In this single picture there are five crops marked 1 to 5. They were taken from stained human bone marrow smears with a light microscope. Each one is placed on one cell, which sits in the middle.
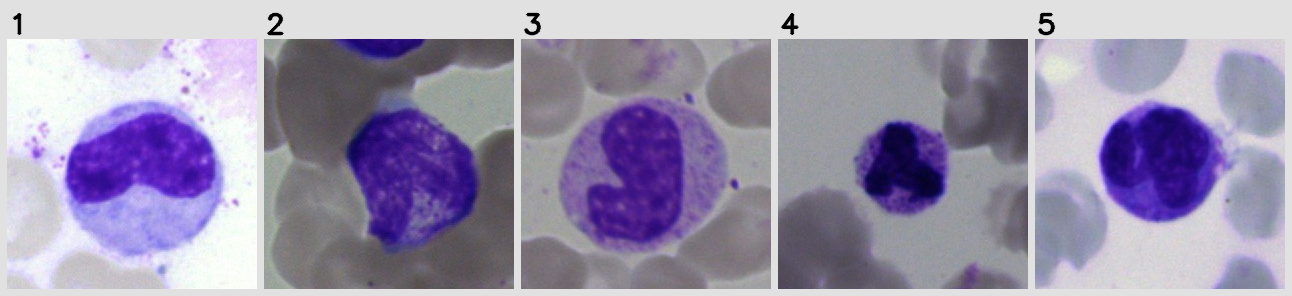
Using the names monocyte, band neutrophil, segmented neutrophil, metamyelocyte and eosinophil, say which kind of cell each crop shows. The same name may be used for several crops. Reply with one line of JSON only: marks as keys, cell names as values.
{"1": "band neutrophil", "2": "metamyelocyte", "3": "band neutrophil", "4": "segmented neutrophil", "5": "monocyte"}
